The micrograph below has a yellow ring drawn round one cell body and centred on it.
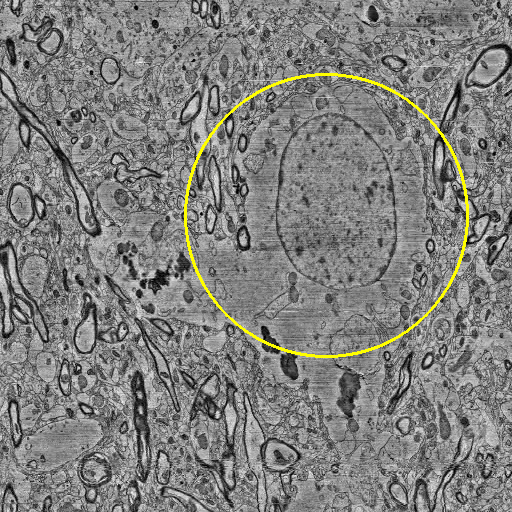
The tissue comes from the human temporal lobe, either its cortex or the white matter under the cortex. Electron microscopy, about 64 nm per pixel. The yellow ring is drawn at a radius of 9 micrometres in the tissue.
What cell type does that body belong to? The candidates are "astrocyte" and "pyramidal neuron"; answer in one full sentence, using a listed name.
This is an astrocyte, the cell whose body lies at the centre of the ring.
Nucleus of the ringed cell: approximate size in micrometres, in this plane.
The nucleus of the ringed cell is clearly longer than it is wide in this plane, about 12 by 8 micrometres.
